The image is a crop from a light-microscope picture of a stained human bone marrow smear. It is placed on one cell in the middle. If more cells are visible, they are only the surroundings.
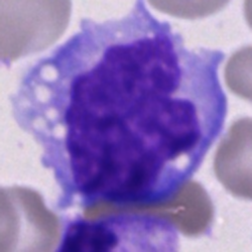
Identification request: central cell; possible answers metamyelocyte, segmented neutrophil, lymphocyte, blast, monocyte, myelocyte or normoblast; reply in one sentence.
By type, the central cell of the crop is a monocyte.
